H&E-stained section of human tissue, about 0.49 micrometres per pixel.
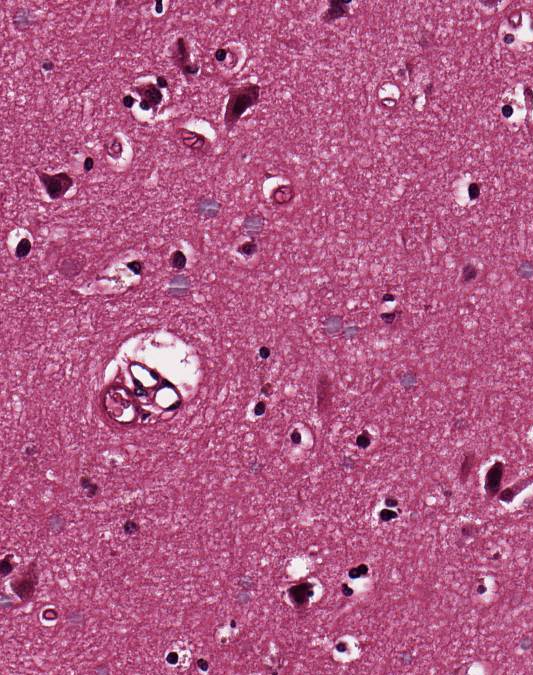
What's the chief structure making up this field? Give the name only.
cerebral cortex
